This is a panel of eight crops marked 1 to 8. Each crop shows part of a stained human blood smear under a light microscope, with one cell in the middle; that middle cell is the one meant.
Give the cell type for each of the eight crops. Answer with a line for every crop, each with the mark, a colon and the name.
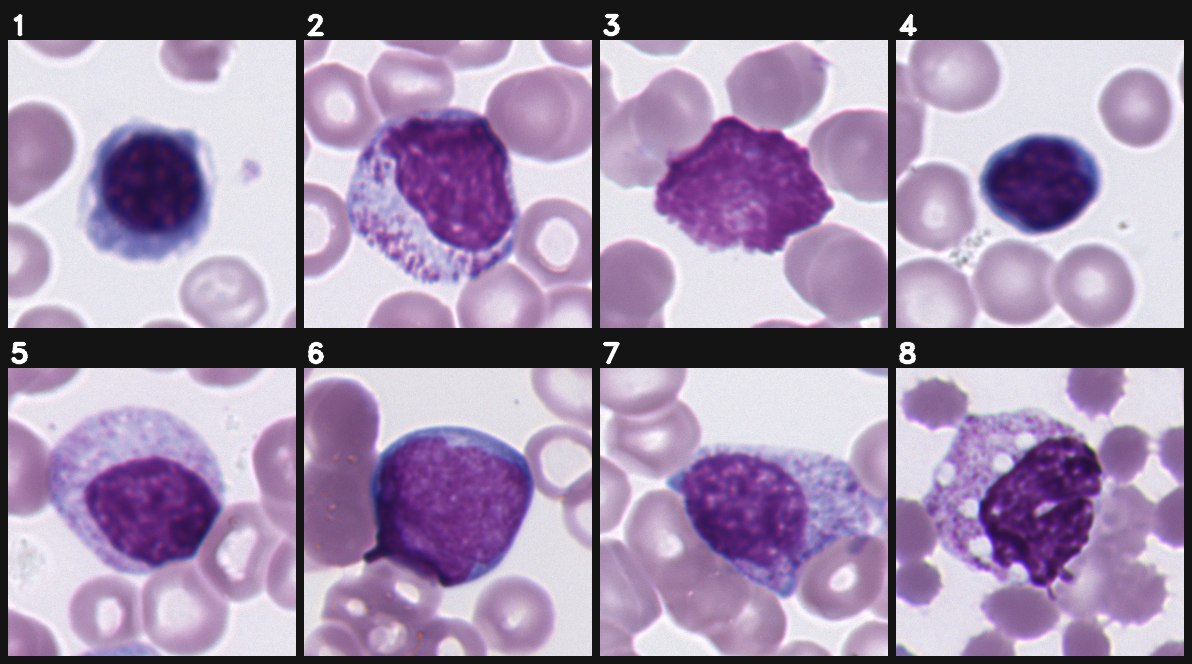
1: erythroblast
2: myelocyte
3: smudge cell
4: typical lymphocyte
5: myelocyte
6: myeloblast
7: myelocyte
8: band neutrophil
